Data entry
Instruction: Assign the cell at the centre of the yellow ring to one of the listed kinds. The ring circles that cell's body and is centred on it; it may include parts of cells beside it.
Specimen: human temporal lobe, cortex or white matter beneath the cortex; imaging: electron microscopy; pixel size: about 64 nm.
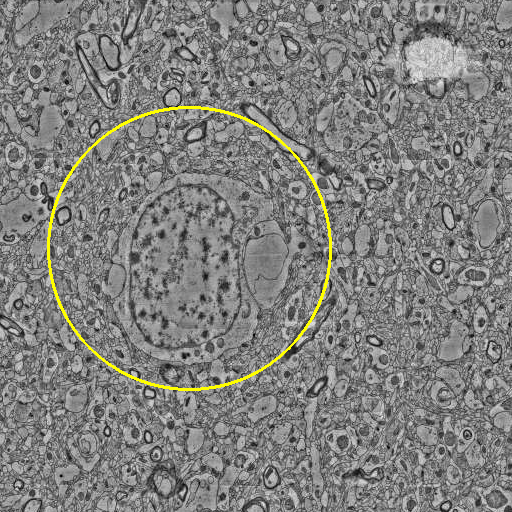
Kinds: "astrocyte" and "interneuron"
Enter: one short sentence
The centre of the ring falls on an interneuron.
